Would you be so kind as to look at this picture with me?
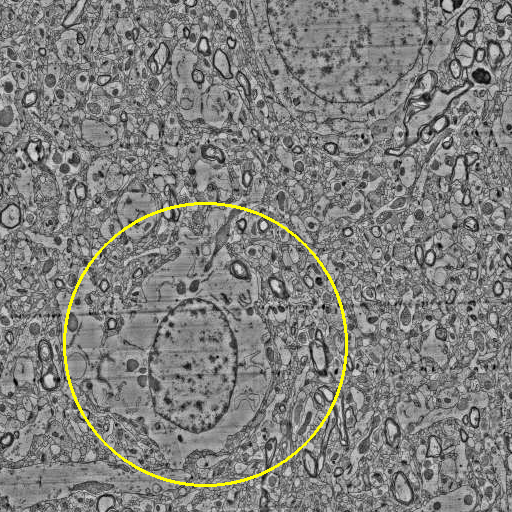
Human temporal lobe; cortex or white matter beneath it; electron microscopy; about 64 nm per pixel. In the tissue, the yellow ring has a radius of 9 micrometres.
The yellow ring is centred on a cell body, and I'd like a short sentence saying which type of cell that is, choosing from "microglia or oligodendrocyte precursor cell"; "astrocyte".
The cell body in the ring belongs to an astrocyte.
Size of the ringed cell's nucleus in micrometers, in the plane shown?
In this plane the nucleus measures roughly 8 by 6 micrometers.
